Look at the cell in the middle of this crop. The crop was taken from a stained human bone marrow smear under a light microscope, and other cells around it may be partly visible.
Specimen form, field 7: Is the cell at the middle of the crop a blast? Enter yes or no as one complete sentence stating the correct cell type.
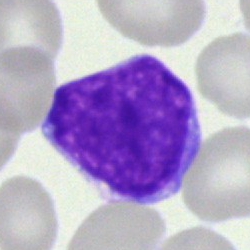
Yes, this central cell is a blast.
